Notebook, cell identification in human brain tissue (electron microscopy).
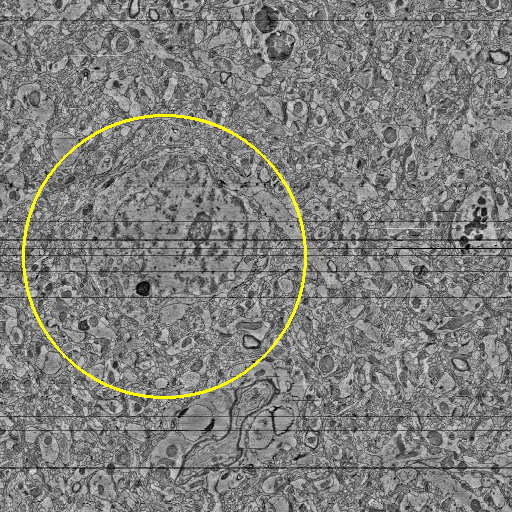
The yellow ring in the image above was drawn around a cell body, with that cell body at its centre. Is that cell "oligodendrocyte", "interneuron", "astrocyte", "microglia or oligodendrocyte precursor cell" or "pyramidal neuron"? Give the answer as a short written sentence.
The cell in the ring is an interneuron.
